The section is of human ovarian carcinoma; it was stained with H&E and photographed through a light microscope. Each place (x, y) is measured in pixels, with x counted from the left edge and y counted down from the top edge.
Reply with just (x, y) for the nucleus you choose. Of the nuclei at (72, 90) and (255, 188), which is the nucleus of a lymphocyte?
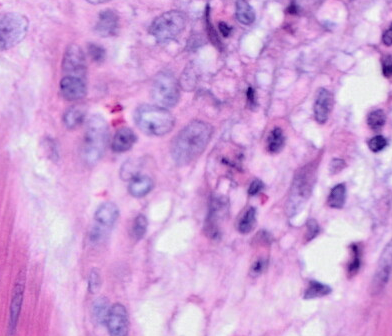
(255, 188)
